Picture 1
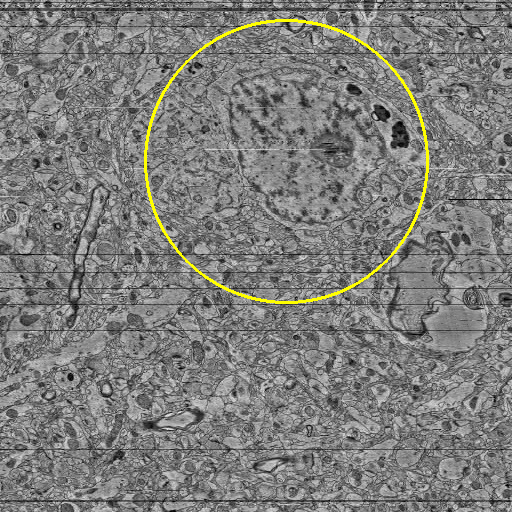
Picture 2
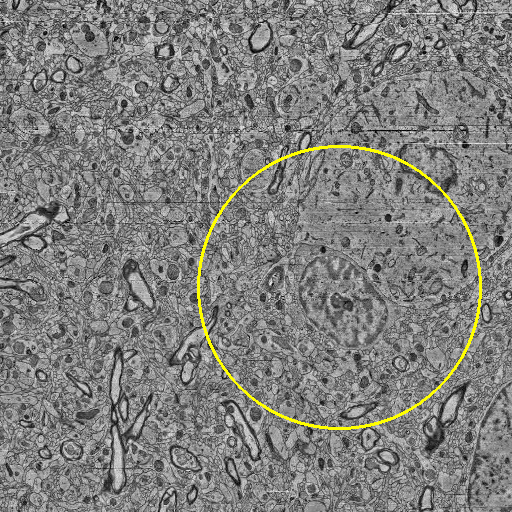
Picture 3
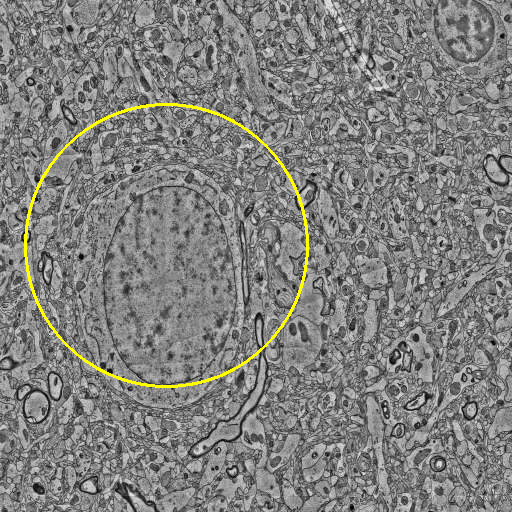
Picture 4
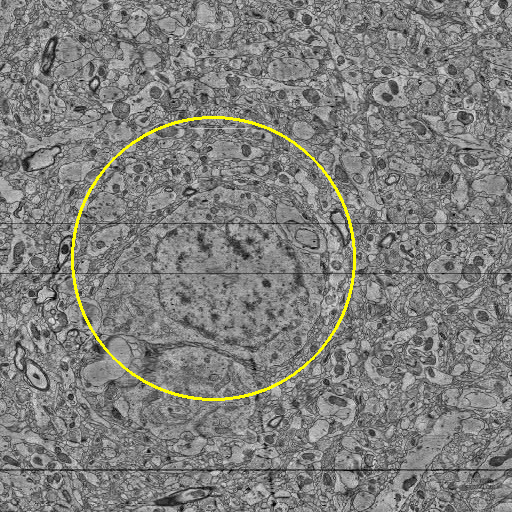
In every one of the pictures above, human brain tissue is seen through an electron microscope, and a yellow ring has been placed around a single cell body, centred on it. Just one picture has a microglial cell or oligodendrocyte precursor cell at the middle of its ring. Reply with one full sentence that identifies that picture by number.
It is picture 1 that shows the wanted cell at its ring's centre.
